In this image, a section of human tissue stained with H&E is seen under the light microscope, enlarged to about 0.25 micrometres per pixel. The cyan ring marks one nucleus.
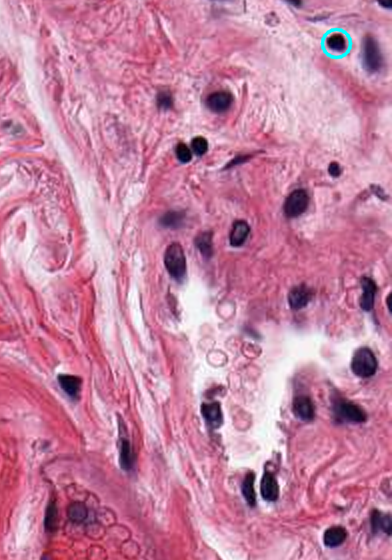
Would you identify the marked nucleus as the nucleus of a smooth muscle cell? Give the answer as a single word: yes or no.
no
